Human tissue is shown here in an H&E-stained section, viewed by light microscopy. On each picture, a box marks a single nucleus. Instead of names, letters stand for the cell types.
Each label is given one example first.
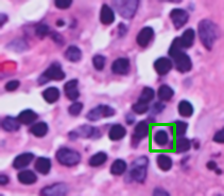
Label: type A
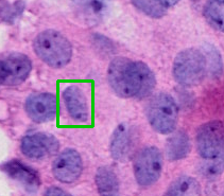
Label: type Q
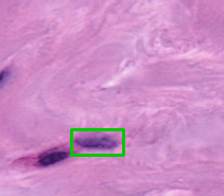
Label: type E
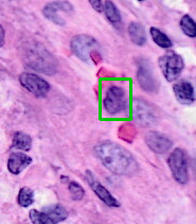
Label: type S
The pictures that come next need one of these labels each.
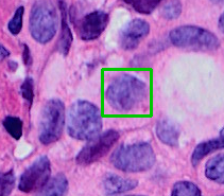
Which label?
type Q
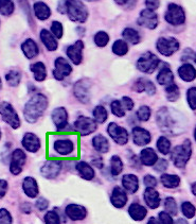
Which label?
type A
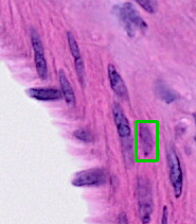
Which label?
type S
